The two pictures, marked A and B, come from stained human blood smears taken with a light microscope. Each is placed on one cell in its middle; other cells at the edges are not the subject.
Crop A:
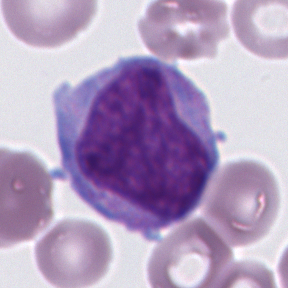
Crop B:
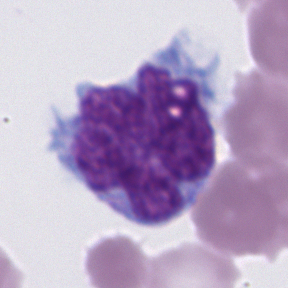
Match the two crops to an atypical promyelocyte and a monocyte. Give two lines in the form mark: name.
A: atypical promyelocyte
B: monocyte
